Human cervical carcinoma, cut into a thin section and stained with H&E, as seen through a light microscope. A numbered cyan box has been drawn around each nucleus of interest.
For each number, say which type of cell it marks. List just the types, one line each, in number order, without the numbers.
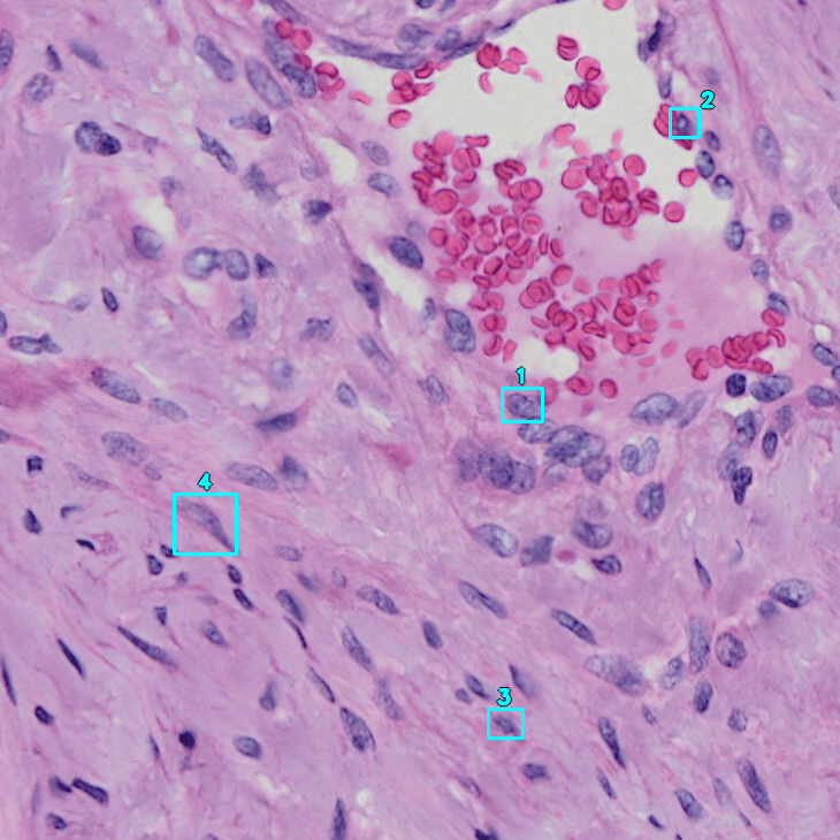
endothelial cell
endothelial cell
smooth muscle cell
smooth muscle cell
